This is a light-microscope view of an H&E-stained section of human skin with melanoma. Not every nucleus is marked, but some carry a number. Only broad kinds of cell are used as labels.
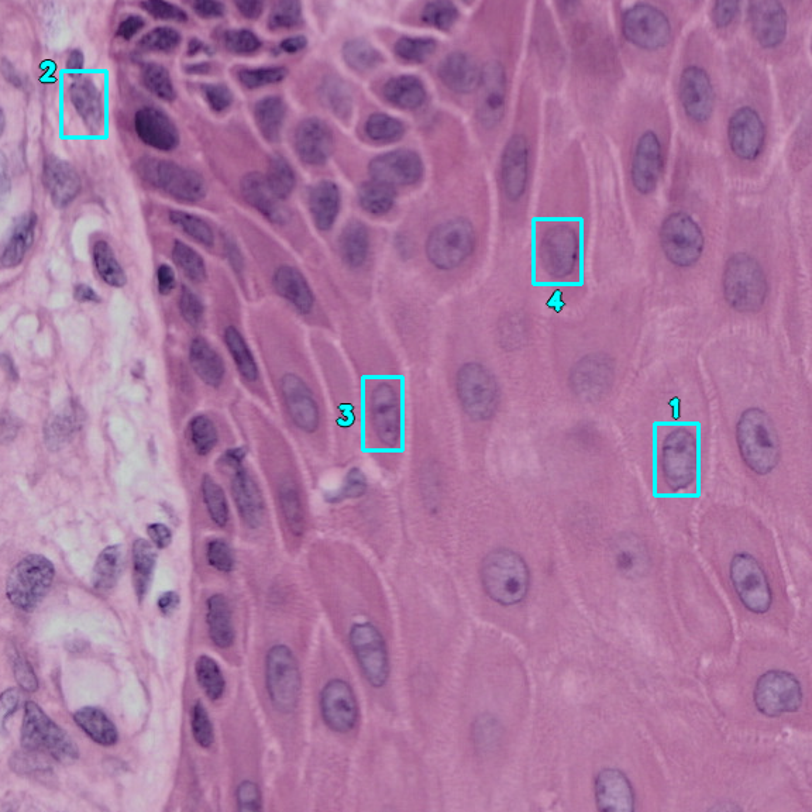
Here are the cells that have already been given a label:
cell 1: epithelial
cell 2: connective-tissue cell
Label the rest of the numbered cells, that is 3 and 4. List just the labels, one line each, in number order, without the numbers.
epithelial
epithelial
